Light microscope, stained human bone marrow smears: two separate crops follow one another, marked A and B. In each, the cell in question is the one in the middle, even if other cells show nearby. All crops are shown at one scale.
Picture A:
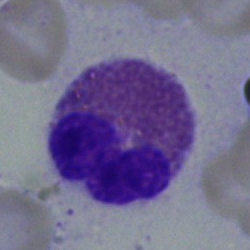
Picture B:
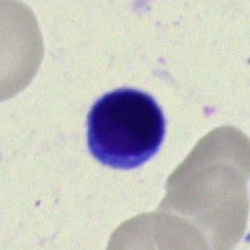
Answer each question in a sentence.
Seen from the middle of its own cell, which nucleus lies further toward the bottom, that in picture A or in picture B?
The nucleus in picture A lies further toward the bottom of its cell.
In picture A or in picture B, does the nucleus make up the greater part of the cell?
In picture B the nucleus takes up the larger part of its cell.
